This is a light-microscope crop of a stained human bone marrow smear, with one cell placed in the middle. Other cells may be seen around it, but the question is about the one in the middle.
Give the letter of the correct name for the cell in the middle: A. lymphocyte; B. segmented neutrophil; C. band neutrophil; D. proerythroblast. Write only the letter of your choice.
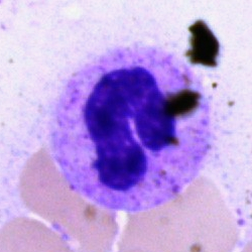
C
